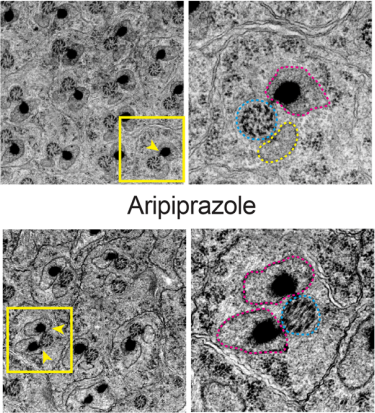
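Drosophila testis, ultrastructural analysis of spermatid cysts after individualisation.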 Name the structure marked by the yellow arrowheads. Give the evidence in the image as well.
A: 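The arrowheads point to compact black, electron-dense masses. Each mass sits inside a rounded body within a cross-sectioned spermatid. The answer: dark crystalline structure.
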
